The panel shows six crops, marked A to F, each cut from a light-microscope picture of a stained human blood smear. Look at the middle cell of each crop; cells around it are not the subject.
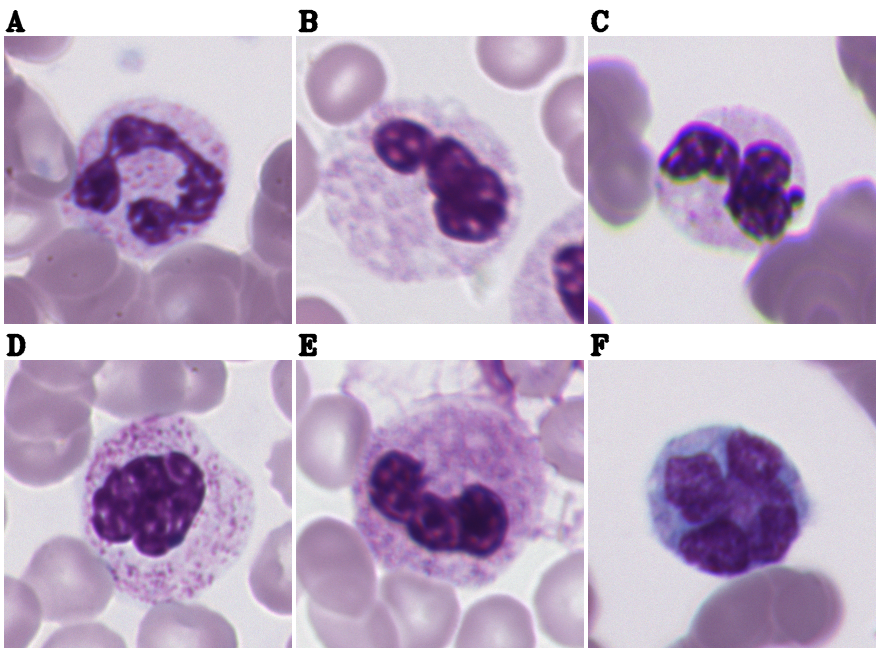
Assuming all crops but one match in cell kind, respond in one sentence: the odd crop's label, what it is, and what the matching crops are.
Of these crops, only crop F is a monocyte; the others are segmented neutrophils.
